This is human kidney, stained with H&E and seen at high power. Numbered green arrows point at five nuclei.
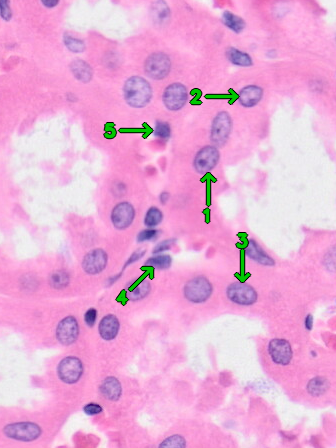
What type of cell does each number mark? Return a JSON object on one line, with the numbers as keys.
{"1": "proximal tubule cell", "2": "proximal tubule cell", "3": "proximal tubule cell", "4": "endothelial cell", "5": "endothelial cell"}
